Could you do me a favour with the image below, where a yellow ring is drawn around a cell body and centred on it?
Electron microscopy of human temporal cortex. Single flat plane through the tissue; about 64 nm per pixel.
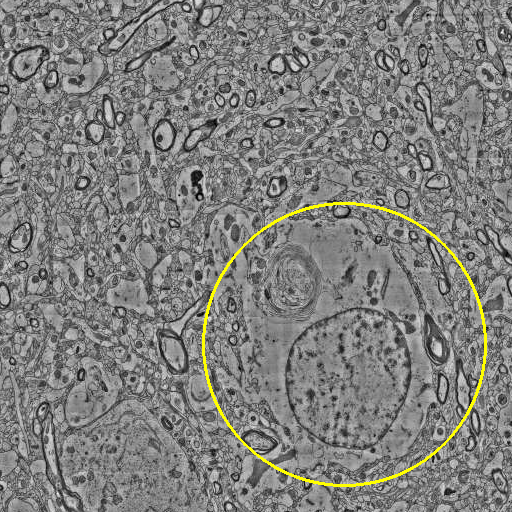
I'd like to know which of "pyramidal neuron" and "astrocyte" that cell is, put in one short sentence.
The cell at the ring's centre is an astrocyte.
